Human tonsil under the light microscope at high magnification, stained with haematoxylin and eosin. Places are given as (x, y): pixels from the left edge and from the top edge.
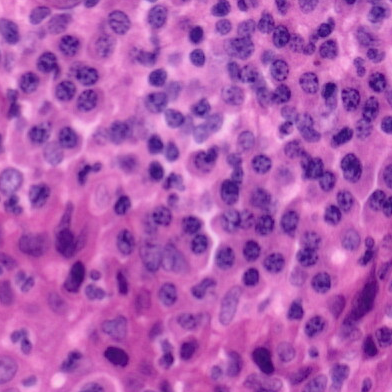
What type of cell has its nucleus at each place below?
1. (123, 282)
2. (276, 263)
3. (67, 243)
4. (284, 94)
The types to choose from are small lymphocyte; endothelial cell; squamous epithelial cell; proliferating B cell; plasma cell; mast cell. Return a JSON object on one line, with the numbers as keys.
{"1": "squamous epithelial cell", "2": "plasma cell", "3": "squamous epithelial cell", "4": "plasma cell"}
